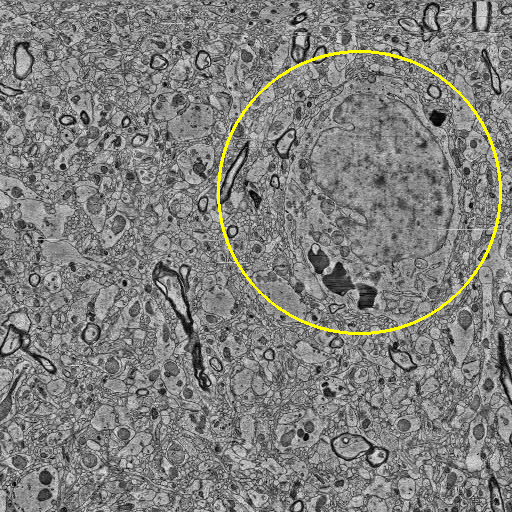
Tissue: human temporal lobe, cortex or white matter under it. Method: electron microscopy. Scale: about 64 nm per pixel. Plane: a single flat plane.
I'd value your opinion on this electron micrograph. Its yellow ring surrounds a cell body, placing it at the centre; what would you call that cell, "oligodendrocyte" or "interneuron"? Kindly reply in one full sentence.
It is an interneuron that sits centred within the yellow ring in this micrograph.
